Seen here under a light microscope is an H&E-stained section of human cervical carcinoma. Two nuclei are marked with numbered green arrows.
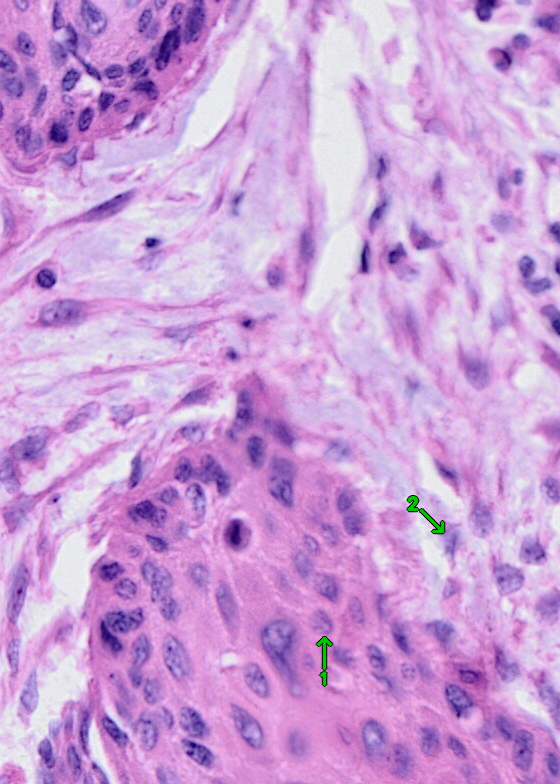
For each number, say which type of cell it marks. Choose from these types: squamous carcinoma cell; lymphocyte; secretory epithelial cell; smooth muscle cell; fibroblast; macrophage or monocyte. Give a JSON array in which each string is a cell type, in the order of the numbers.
["squamous carcinoma cell", "fibroblast"]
